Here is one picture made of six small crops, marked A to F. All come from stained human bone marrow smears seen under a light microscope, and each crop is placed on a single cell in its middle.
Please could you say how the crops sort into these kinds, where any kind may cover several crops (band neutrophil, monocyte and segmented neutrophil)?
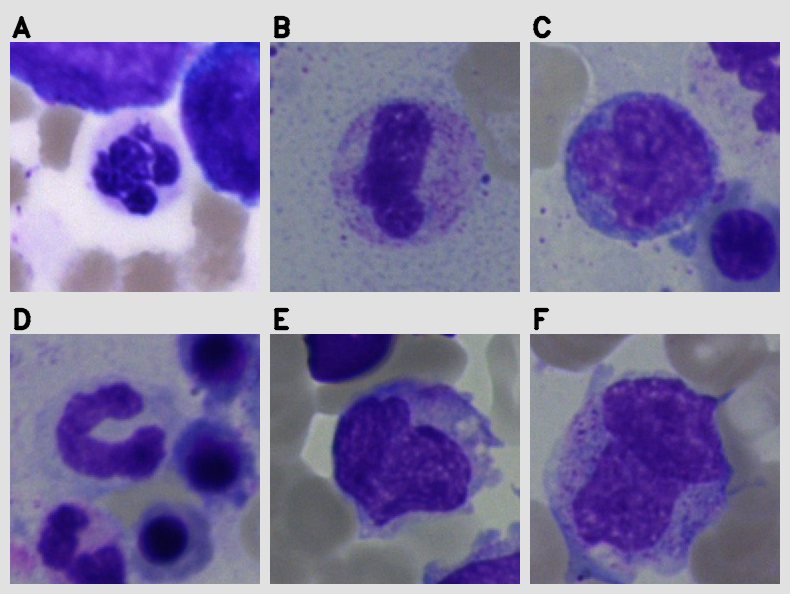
A: segmented neutrophil
B: band neutrophil
C: monocyte
D: segmented neutrophil
E: monocyte
F: monocyte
